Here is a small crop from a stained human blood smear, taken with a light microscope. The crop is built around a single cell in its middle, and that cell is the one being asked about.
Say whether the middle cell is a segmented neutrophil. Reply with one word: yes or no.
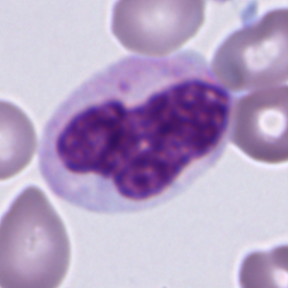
yes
